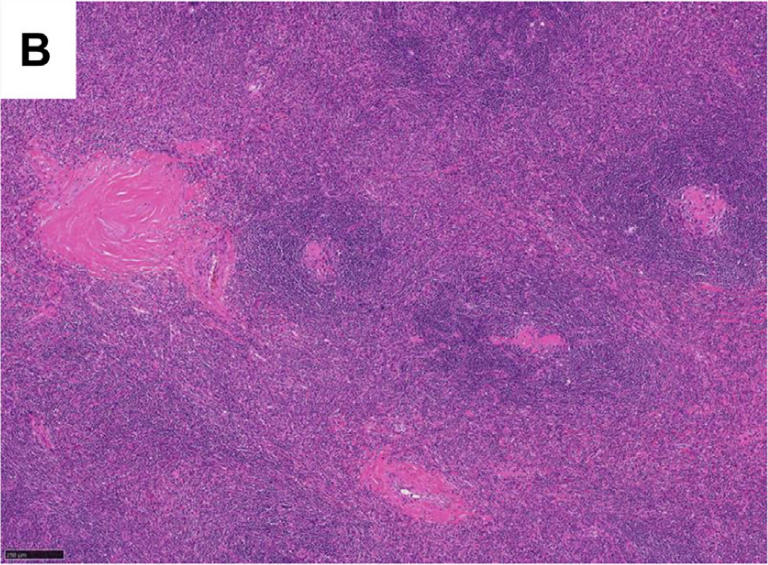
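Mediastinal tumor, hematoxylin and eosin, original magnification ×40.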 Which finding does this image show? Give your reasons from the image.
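Hyaline vascular-type Castleman disease. Dense lymphoid tissue with vague follicles. Glassy pink hyalinized vessels lie within and between the follicles.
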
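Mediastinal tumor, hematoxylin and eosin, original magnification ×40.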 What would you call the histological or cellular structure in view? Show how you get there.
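Hyalinized blood vessels. Several rounded and elongated patches of homogeneous, glassy pink material lie among the dense blue-purple cellular tissue. Some pink patches have a small central lumen or a vessel-like outline.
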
